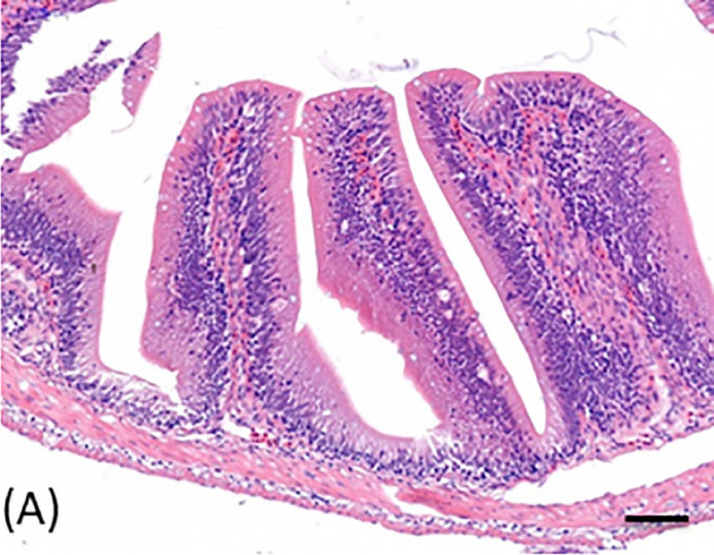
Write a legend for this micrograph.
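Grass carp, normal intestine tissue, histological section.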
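A few clear, rounded vacuoles lie within the epithelium. The narrow core of each fold is connective tissue containing small vessels with red blood cells. Beneath the folds lies a continuous pink layer of smooth muscle, and the folds are separated from one another by wide open spaces.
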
